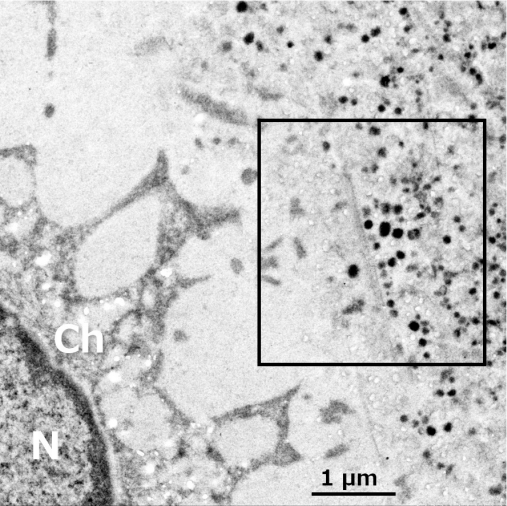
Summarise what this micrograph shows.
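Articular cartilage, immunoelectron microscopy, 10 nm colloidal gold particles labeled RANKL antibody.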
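The nucleus, with a dark rim of condensed chromatin, lies at the lower left. The cytoplasm forms irregular, branching projections containing small pale vacuoles, separated by clear spaces. To the right the matrix contains many round, electron-dense extracellular vesicles of varying size, scattered and in places lined up in rows.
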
